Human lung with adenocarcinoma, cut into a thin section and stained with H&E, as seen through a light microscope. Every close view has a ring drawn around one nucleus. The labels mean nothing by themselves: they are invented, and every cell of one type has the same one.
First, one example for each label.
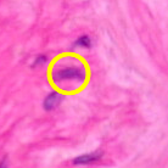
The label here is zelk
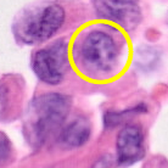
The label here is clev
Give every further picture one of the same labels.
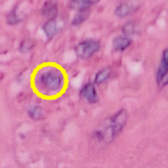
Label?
zelk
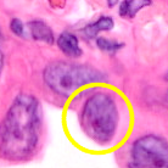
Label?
clev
